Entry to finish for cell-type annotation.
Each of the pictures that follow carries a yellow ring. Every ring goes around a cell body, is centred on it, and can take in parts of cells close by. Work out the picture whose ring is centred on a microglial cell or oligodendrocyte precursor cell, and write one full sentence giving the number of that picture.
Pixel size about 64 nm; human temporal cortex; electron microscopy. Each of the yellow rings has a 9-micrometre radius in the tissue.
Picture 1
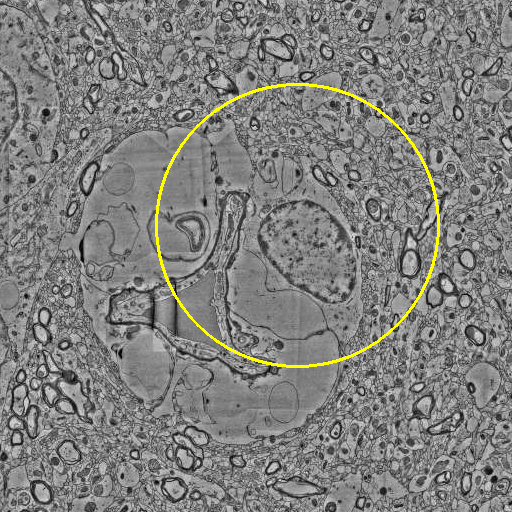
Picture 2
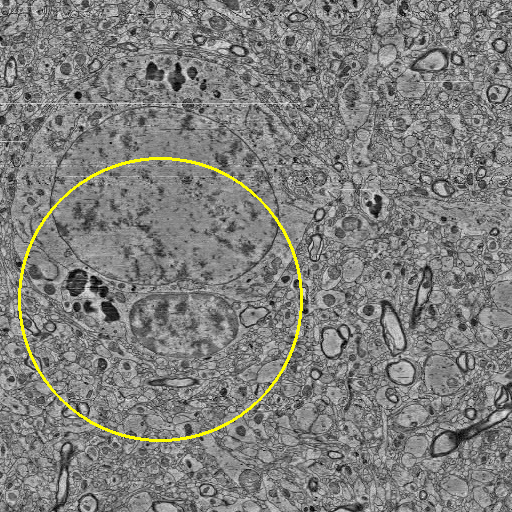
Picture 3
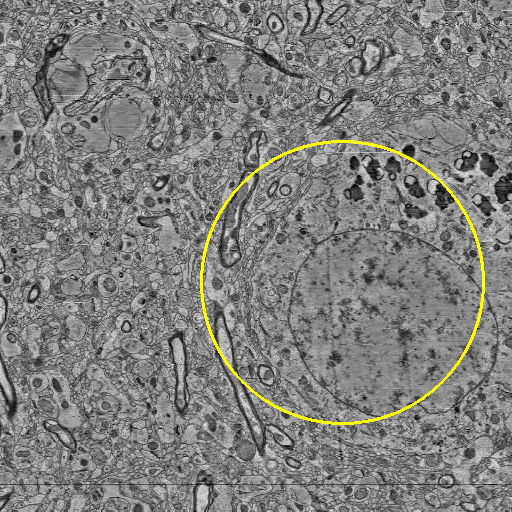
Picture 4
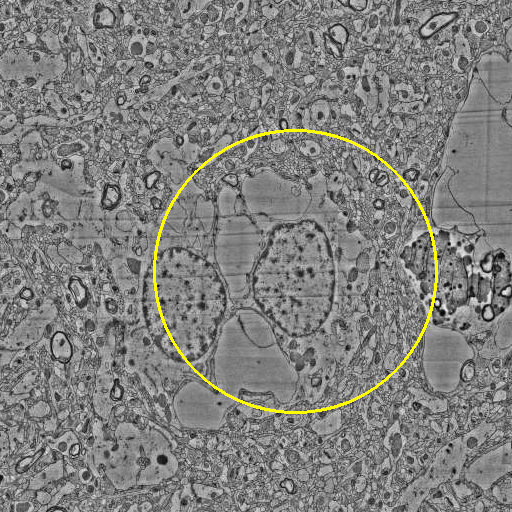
The cell at the heart of the ring in picture 1 matches the request.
